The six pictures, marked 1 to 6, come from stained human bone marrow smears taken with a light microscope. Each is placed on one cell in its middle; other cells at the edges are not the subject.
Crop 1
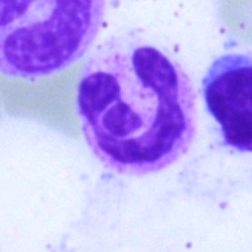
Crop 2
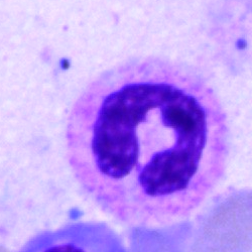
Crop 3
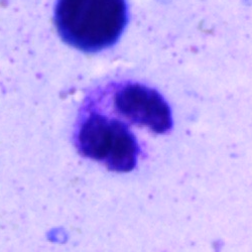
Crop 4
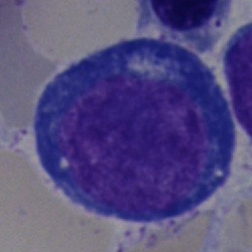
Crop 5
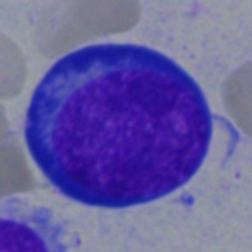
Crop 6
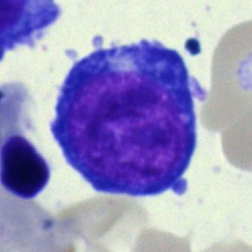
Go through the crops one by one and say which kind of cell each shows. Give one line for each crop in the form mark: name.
1: segmented neutrophil
2: segmented neutrophil
3: segmented neutrophil
4: proerythroblast
5: proerythroblast
6: proerythroblast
